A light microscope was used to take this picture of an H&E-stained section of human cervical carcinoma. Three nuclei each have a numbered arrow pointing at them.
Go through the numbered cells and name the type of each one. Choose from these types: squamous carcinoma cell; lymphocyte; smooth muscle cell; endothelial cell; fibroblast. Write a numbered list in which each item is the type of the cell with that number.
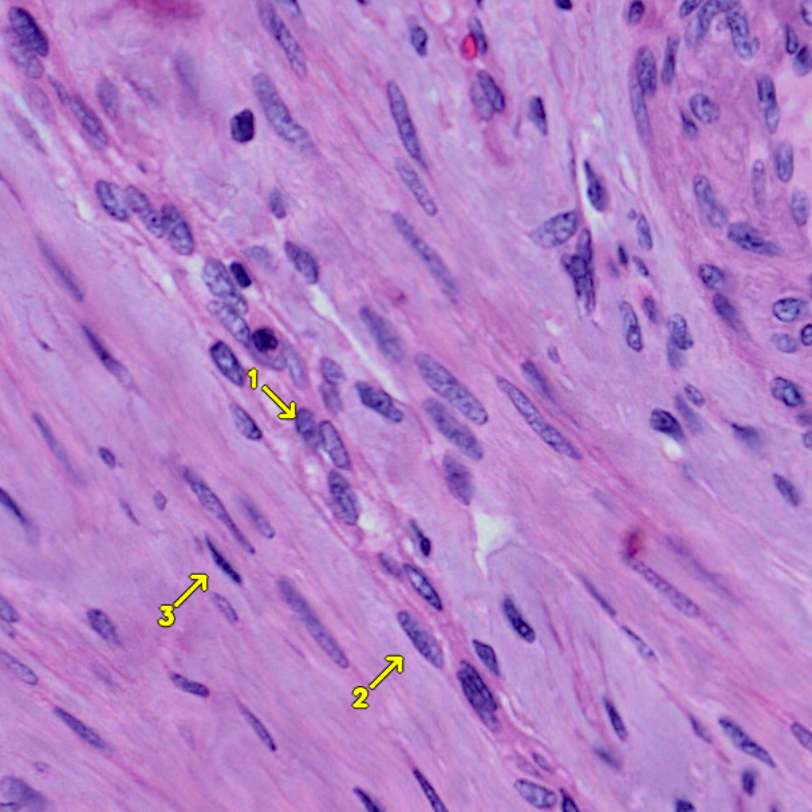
1. endothelial cell
2. smooth muscle cell
3. fibroblast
